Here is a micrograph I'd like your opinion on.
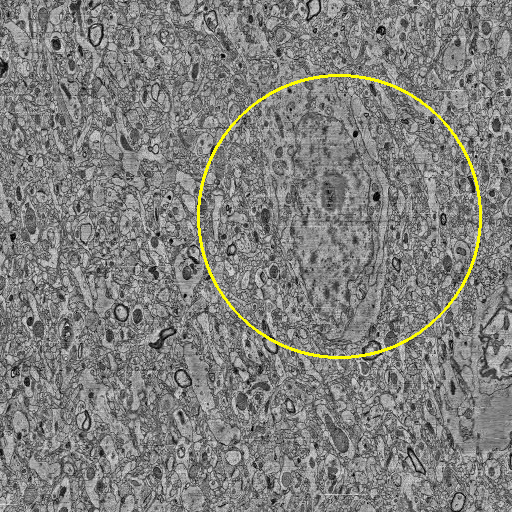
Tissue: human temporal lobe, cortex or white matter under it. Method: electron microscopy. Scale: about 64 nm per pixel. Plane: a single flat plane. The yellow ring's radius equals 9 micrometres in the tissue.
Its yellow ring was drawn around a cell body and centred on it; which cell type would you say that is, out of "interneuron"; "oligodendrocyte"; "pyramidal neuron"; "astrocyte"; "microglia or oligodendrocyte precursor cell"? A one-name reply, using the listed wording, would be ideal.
interneuron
